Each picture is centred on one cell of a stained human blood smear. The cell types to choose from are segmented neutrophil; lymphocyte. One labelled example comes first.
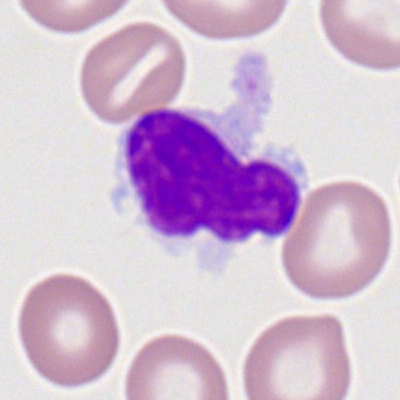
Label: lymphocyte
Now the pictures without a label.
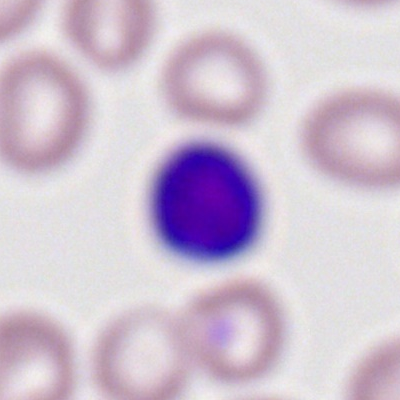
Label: lymphocyte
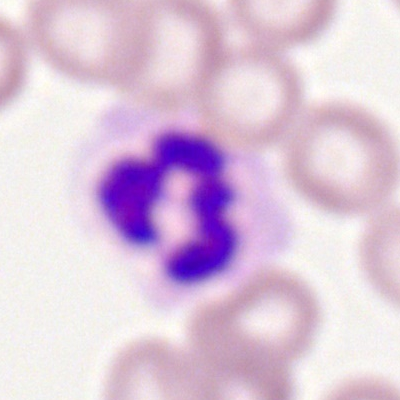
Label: segmented neutrophil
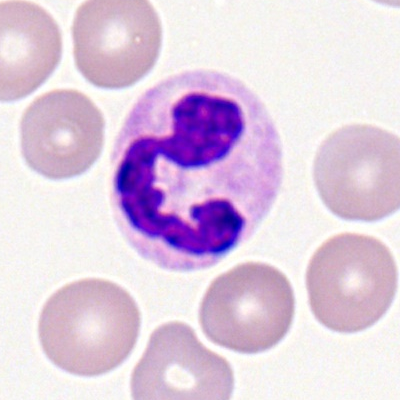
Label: segmented neutrophil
